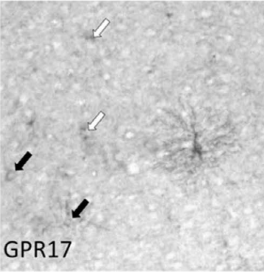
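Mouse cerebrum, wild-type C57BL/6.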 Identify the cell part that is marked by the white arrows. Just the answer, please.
Cell somata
